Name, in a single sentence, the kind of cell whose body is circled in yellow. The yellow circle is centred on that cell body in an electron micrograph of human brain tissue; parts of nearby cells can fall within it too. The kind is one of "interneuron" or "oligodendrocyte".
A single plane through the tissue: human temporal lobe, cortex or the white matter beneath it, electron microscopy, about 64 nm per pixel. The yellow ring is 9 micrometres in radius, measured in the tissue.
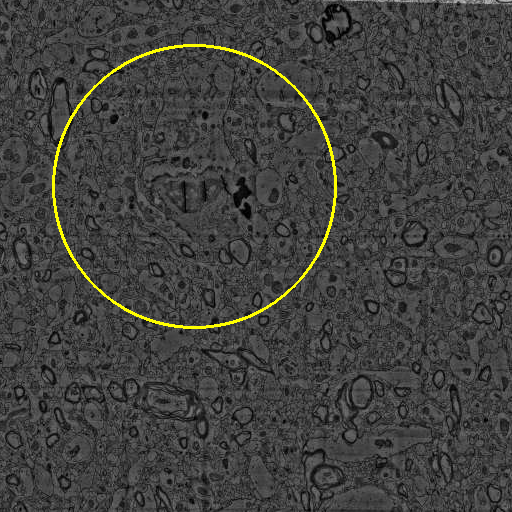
The circled cell body belongs to an oligodendrocyte.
